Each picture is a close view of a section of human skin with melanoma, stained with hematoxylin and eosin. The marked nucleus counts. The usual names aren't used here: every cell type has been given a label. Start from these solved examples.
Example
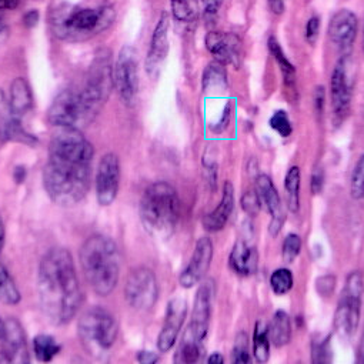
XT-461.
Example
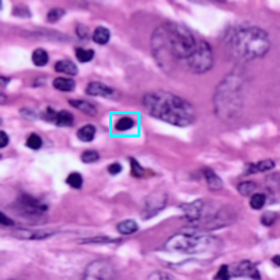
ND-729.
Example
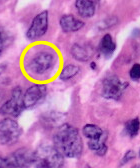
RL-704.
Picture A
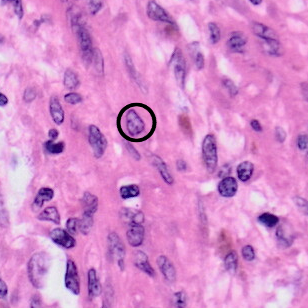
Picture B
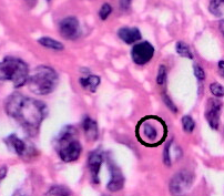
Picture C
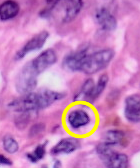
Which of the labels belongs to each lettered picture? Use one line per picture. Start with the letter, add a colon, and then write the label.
A: XT-461.
B: ND-729.
C: ND-729.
